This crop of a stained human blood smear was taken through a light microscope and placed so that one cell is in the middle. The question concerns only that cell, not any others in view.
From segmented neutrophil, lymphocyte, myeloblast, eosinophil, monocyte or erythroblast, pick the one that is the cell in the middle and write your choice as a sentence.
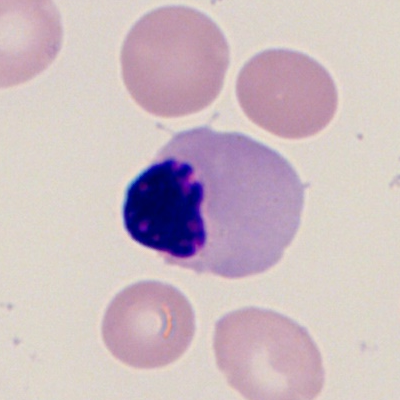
The cell around which this crop is centred is an erythroblast.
